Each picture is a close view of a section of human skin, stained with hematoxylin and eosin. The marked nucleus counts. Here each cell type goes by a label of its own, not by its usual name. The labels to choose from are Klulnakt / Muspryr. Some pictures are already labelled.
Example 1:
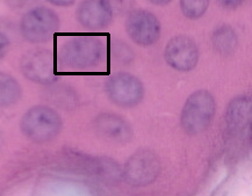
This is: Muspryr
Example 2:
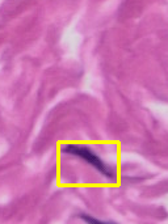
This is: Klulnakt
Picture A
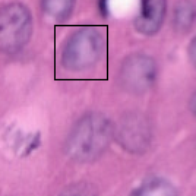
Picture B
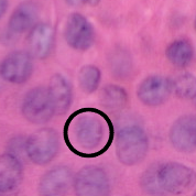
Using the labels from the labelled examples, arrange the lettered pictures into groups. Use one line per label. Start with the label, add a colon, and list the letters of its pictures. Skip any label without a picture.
Muspryr: A, B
